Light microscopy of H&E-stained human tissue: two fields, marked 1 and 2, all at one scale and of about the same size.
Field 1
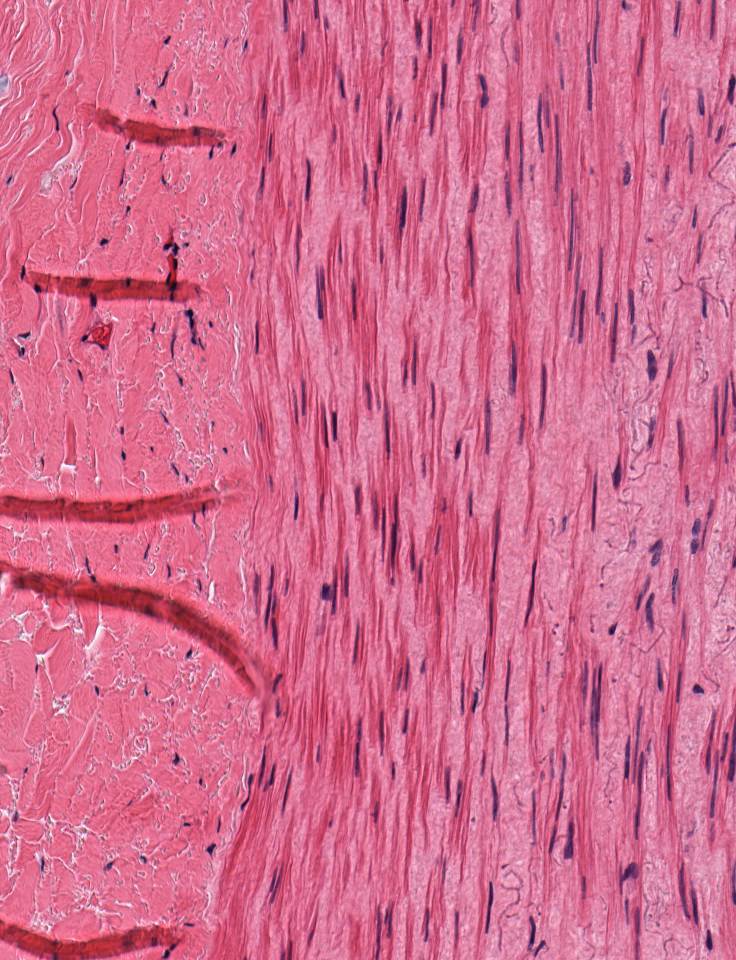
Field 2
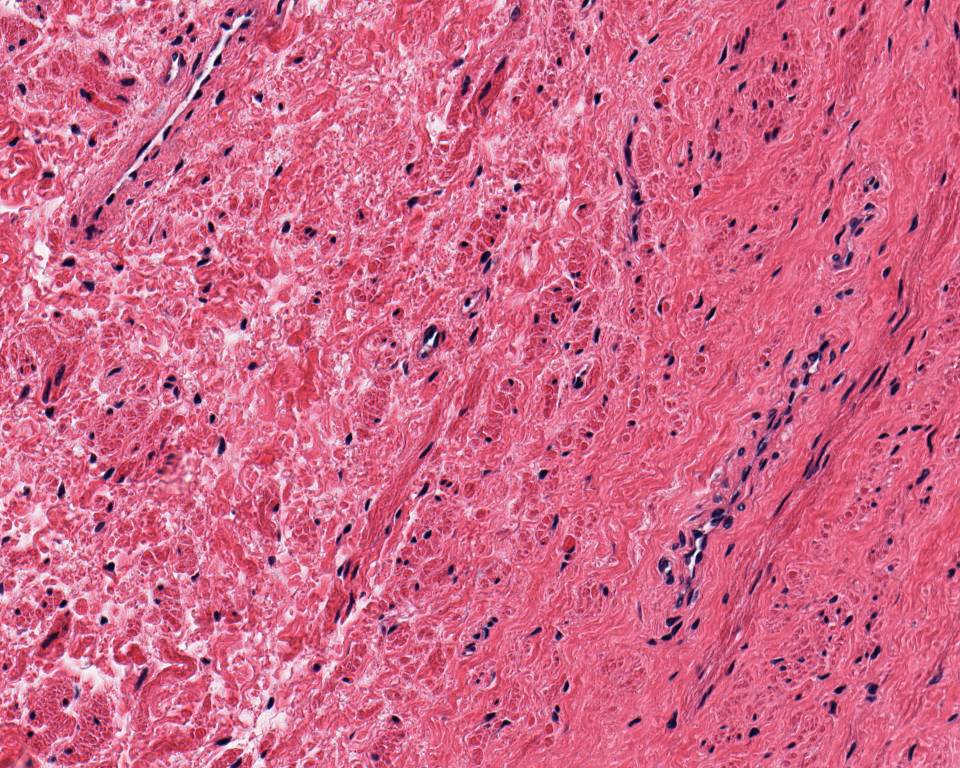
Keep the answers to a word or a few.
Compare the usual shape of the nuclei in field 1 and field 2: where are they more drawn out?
1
